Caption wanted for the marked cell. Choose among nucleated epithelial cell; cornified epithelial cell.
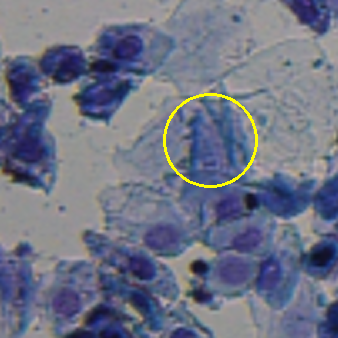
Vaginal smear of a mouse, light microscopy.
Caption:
Ringed in yellow is a cornified epithelial cell.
